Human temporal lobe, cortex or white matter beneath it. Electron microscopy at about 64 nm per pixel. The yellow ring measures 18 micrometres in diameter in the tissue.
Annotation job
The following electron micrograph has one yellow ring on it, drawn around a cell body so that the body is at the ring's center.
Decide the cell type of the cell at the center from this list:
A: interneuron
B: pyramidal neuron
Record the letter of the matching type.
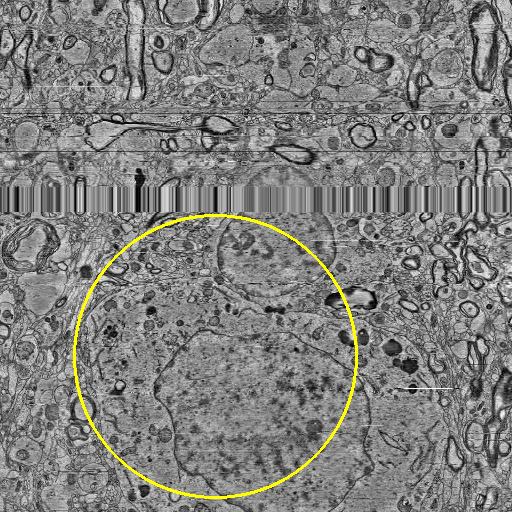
B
